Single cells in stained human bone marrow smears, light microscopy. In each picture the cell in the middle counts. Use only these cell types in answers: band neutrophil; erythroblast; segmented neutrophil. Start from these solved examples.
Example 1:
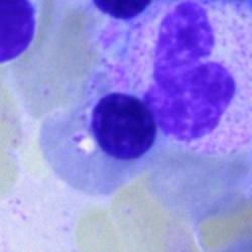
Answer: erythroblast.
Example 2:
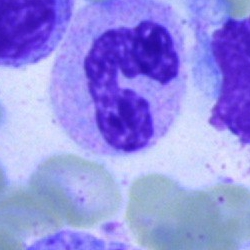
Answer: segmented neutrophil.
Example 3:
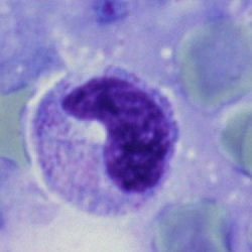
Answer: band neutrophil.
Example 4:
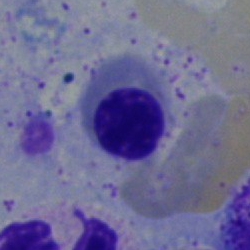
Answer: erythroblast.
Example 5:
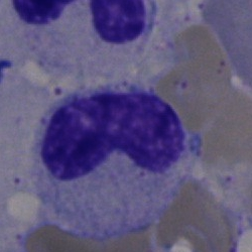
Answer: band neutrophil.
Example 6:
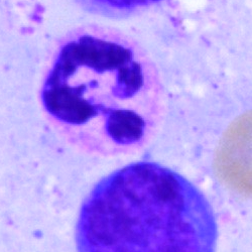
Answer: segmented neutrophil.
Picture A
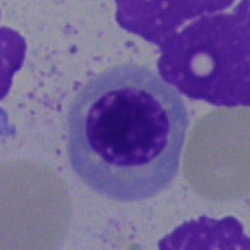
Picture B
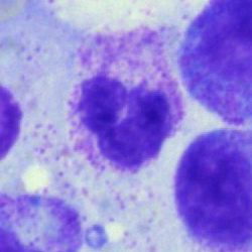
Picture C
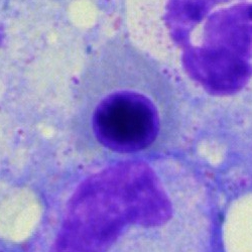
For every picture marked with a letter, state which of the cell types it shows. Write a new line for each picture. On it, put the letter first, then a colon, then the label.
A: erythroblast.
B: segmented neutrophil.
C: erythroblast.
